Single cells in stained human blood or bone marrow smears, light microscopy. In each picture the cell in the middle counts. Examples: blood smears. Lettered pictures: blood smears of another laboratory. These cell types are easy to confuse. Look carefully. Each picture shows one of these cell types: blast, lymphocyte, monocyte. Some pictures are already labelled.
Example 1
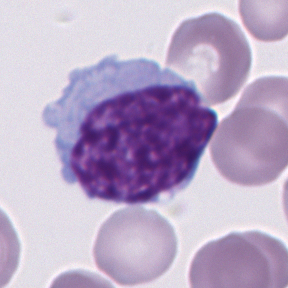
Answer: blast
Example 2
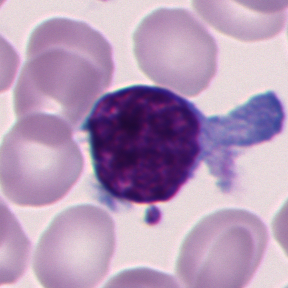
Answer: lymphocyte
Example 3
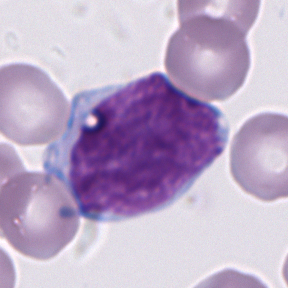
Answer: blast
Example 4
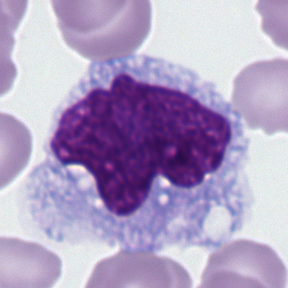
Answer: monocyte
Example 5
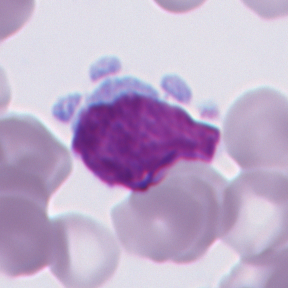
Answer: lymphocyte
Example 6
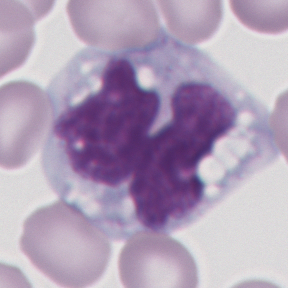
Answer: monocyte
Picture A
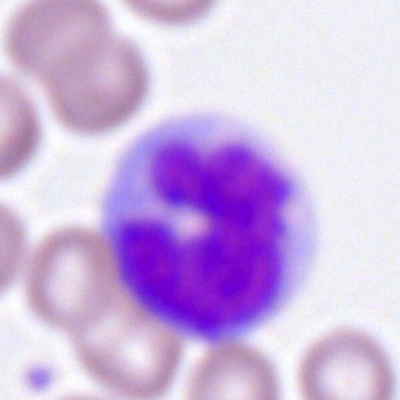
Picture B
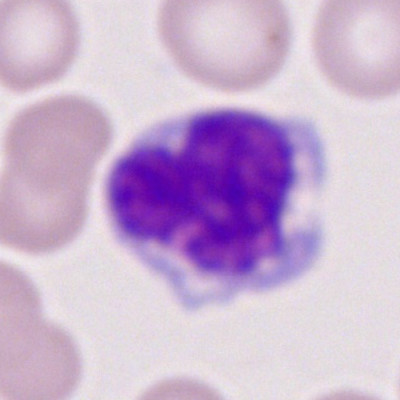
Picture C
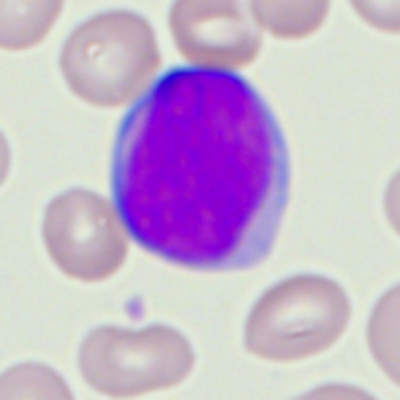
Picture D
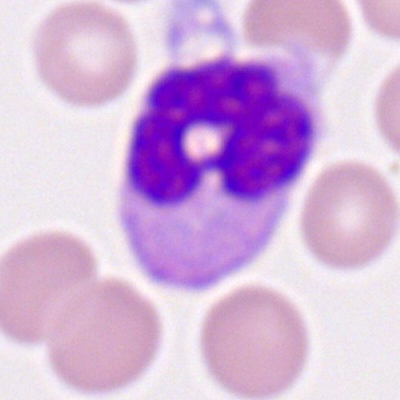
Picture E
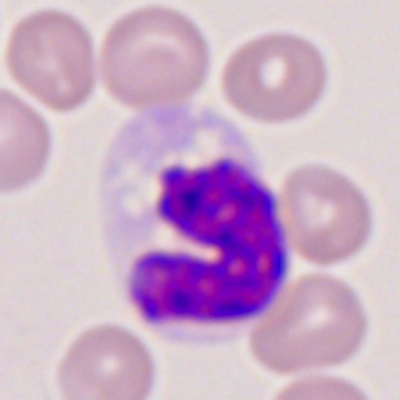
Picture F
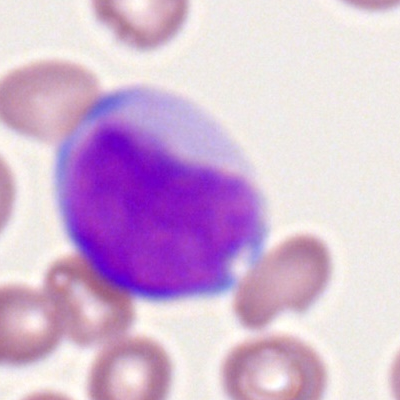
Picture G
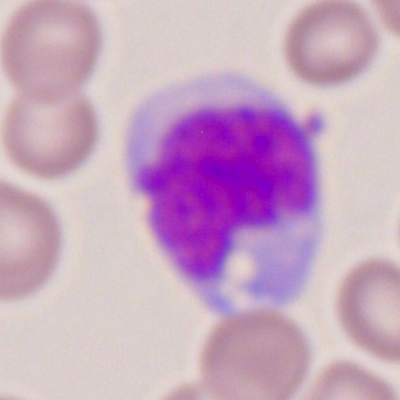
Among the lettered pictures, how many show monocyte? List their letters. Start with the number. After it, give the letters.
Count: 5 (A, B, D, E, G)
